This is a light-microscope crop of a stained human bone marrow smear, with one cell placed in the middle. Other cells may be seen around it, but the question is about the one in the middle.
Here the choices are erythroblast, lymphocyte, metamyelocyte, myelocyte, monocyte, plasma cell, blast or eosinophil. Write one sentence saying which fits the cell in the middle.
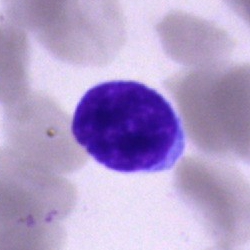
The cell found in the middle of this crop is a lymphocyte.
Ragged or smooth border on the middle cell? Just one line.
The outline traces a smooth curve with no projections along it.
